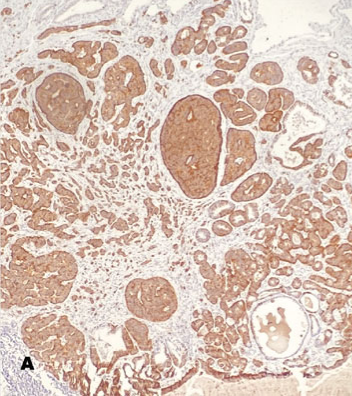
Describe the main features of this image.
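This is a tumor in which the tumor cells are packed into rounded nests, anastomosing cords and small tubular groups, separated by bands of pale fibrous stroma. The cytoplasm of almost every tumor cell is stained a diffuse brown, so that the nests stand out sharply against the pale background. The stroma between them holds scattered small nuclei counterstained blue and is itself unstained. Toward the lower right a few open glandular spaces with lumina are seen, lined by less intensely stained cells.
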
